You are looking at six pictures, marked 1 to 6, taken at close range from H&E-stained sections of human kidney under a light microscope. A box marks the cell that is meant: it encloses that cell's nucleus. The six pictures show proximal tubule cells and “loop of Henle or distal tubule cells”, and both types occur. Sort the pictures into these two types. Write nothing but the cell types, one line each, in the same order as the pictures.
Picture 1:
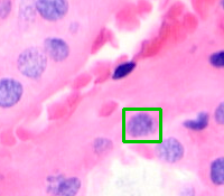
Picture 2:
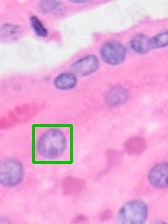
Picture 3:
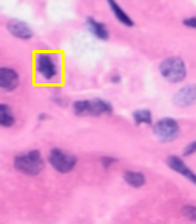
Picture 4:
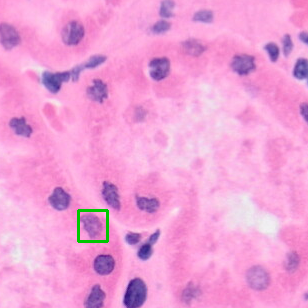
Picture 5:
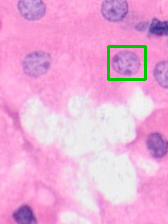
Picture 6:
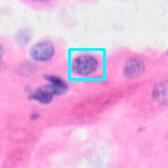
loop of Henle or distal tubule cell
proximal tubule cell
loop of Henle or distal tubule cell
proximal tubule cell
proximal tubule cell
loop of Henle or distal tubule cell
